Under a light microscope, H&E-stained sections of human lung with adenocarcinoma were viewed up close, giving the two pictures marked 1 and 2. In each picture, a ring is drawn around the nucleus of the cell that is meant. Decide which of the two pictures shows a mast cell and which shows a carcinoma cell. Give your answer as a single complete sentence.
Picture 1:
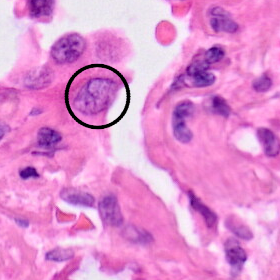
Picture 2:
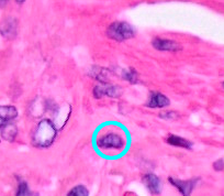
Picture 2 shows a mast cell, while picture 1 shows a carcinoma cell.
